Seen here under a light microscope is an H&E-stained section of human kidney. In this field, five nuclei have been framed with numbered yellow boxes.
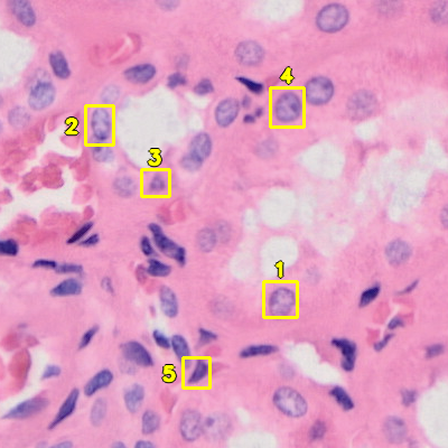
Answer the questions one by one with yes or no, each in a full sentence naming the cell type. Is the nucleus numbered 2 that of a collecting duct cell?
Yes, in this section the cell with number 2 is a collecting duct cell.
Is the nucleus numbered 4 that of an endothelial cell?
No, what is marked as number 4 is a proximal tubule cell rather than an endothelial cell.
